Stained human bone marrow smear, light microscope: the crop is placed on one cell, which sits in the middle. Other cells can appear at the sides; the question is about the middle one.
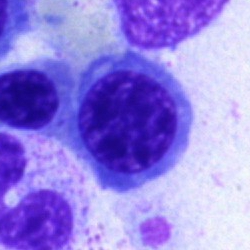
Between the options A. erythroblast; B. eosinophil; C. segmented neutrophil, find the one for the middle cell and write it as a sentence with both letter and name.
Option A is right in identifying the central cell as an erythroblast.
